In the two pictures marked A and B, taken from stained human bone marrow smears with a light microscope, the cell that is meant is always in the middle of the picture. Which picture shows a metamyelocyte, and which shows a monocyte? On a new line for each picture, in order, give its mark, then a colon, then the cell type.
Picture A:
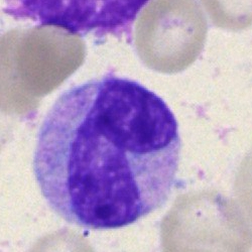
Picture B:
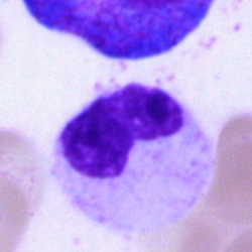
A: monocyte
B: metamyelocyte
